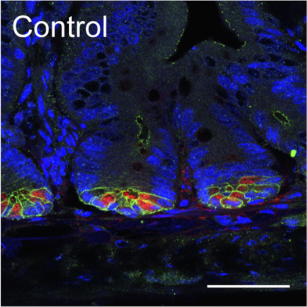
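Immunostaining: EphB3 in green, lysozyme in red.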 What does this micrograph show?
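This is intestinal epithelium cut through the bases of several crypts, with blue nuclei crowded along the epithelial lining and scattered in the connective tissue below. At the bottom of three adjacent crypts, the cells are sharply outlined by bright green borders, giving a honeycomb pattern of small polygonal cell profiles at the crypt base. Among these outlined cells lie compact red-stained granular bodies, clustered right at the crypt floor. Higher up in the epithelium, green outlines are faint and diffuse. Beneath the crypt bases runs a thin band of connective tissue with elongated nuclei.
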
